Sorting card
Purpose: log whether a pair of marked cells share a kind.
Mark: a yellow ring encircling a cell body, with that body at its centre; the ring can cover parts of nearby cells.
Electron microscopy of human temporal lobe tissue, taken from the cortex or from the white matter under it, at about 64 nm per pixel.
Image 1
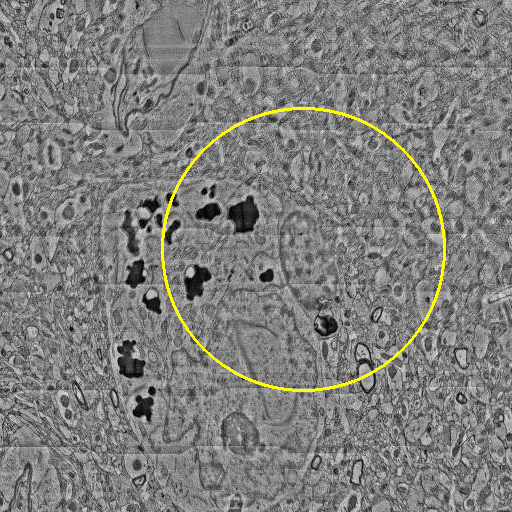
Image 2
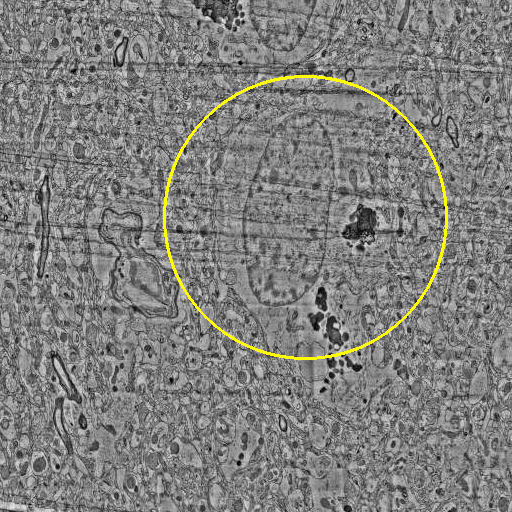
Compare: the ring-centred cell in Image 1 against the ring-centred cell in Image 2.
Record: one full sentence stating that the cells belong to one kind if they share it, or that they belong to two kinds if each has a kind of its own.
Across Images 1 and 2, the two ring-centred cells belong to two kinds.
